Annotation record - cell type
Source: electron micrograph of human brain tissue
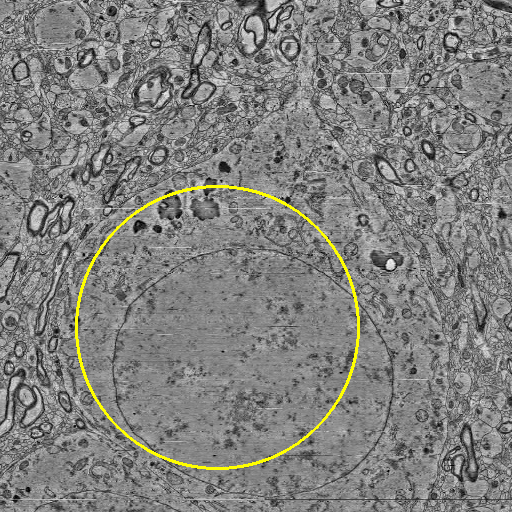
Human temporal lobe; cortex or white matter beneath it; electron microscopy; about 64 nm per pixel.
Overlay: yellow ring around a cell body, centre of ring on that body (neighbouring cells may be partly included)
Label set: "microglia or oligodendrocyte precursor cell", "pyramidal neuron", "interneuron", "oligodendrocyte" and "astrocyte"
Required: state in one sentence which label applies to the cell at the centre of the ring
This cell should be labelled as a pyramidal neuron.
